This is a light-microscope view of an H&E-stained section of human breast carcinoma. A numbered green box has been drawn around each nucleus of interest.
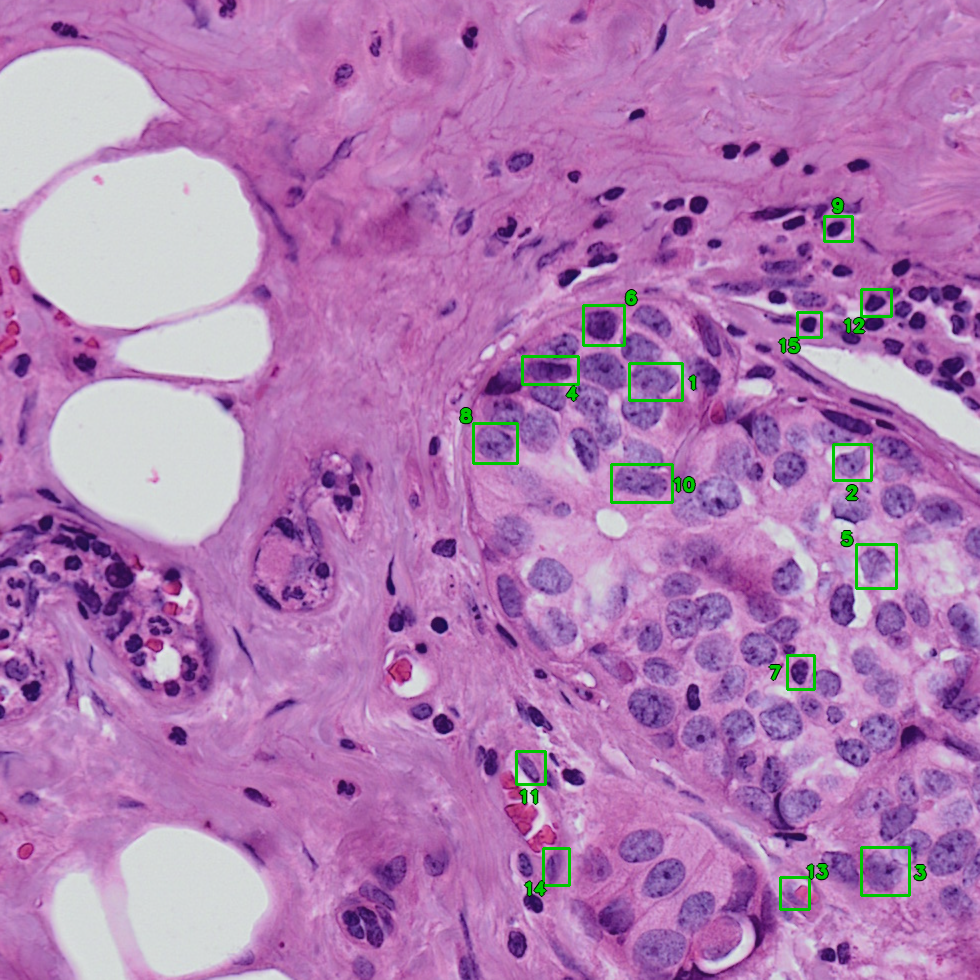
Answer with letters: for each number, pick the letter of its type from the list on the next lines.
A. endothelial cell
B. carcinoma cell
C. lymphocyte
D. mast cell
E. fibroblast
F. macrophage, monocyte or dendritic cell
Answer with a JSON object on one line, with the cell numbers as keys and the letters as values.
{"1": "B", "2": "B", "3": "B", "4": "B", "5": "B", "6": "B", "7": "C", "8": "B", "9": "C", "10": "B", "11": "A", "12": "C", "13": "A", "14": "A", "15": "C"}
